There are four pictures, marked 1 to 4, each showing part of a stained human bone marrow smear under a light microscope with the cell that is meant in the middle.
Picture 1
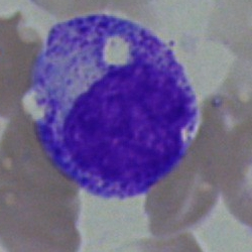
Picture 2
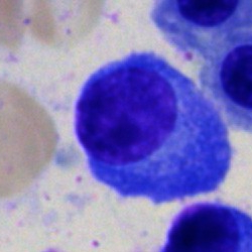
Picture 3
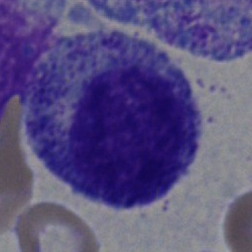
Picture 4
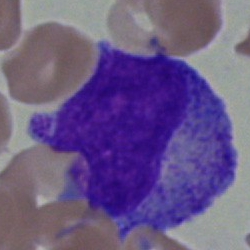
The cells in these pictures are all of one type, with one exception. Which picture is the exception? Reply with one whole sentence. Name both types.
Picture 2 is the odd one out: it shows a plasma cell, while the others show myelocytes.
